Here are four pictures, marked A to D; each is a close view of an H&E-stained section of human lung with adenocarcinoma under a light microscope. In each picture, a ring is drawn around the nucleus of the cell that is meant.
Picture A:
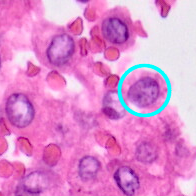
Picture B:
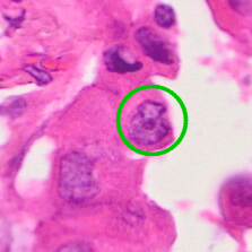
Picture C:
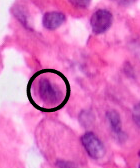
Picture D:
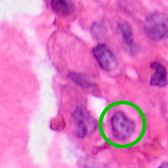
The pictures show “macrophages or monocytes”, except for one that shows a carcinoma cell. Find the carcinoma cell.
B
